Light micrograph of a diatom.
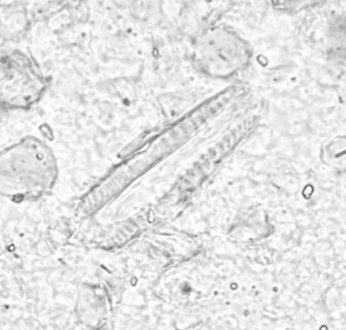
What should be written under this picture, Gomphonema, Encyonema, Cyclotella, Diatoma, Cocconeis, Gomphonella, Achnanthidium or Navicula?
Gomphonella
